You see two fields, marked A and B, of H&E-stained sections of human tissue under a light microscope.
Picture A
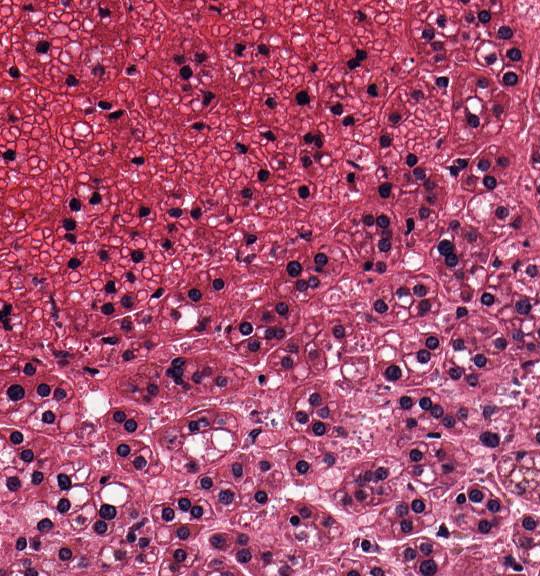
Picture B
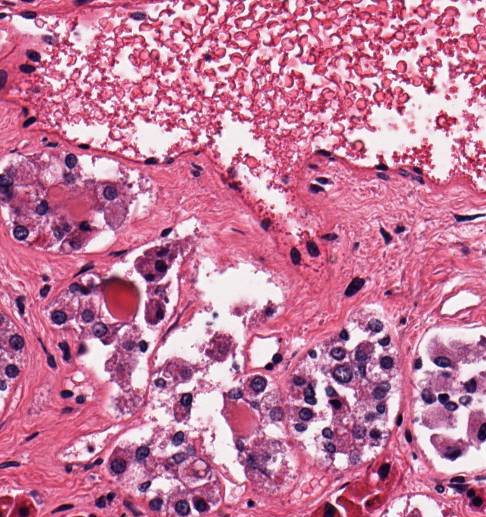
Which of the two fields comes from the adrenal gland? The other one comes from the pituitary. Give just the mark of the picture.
A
